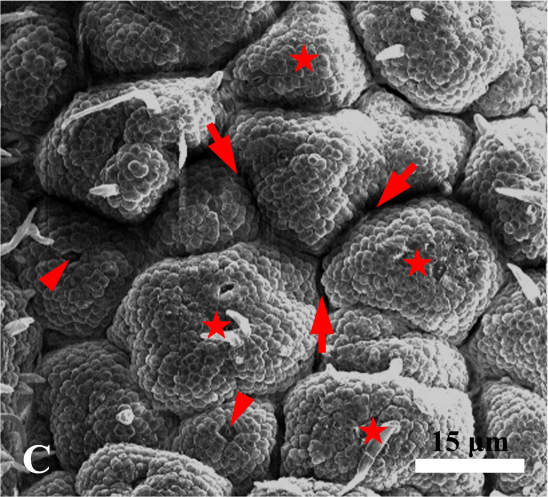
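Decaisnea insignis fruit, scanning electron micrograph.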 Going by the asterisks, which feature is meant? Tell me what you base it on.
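The asterisks sit on rounded, dome-like bulges of the surface. Each bulge is separated from its neighbours by narrow grooves.
Conclusion: papillae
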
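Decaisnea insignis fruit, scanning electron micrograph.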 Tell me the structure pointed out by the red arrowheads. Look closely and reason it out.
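Stomata. The arrowheads point to small slit-like openings on the surface of the bulges.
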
